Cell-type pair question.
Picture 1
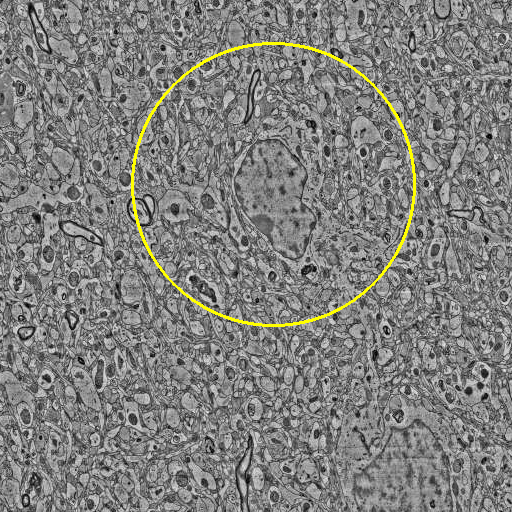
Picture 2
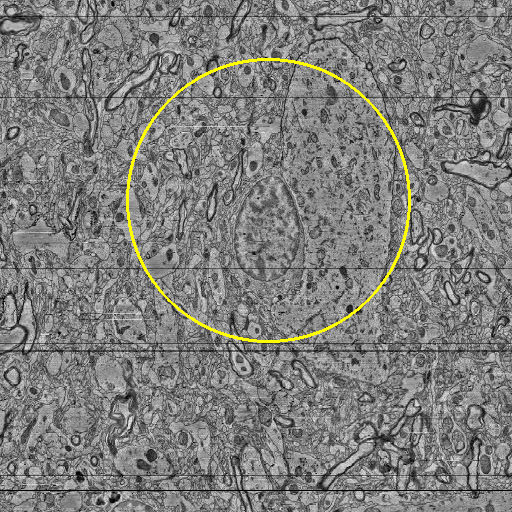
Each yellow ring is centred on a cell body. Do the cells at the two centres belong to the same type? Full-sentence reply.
No, the two cells belong to two types.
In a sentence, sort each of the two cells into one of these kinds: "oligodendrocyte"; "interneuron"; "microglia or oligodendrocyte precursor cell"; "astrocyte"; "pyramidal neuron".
The first of the two cells is a microglial cell or oligodendrocyte precursor cell, and the second is an oligodendrocyte.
